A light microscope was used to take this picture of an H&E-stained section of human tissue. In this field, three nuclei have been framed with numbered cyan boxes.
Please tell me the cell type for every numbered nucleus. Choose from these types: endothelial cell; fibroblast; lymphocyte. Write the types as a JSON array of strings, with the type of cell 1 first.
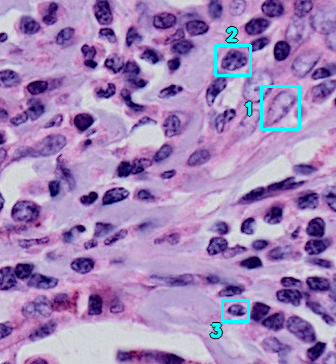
["endothelial cell", "lymphocyte", "lymphocyte"]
